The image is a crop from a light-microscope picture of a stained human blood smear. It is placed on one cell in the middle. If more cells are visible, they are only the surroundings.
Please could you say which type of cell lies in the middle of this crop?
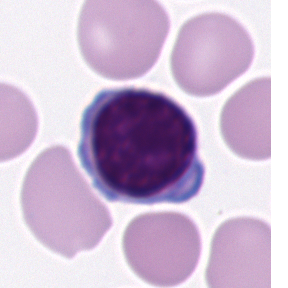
typical lymphocyte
